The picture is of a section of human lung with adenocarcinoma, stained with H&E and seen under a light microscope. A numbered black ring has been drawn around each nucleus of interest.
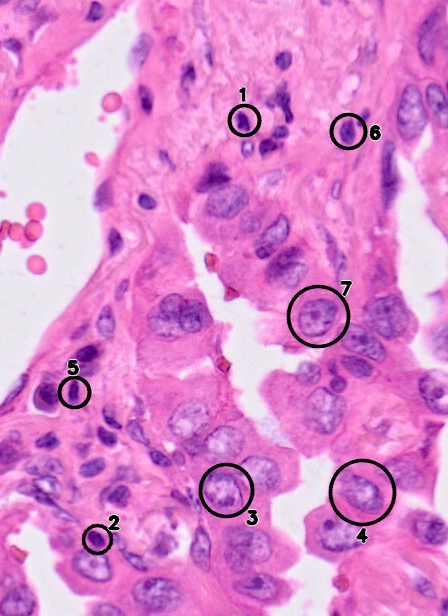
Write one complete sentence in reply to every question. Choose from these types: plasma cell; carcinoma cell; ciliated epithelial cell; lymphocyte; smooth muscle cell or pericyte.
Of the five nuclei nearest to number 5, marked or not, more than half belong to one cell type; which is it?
Most of the five nuclei nearest to number 5 are those of plasma cells.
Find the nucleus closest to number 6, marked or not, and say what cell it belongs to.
Closest to number 6 lies the nucleus of a lymphocyte.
